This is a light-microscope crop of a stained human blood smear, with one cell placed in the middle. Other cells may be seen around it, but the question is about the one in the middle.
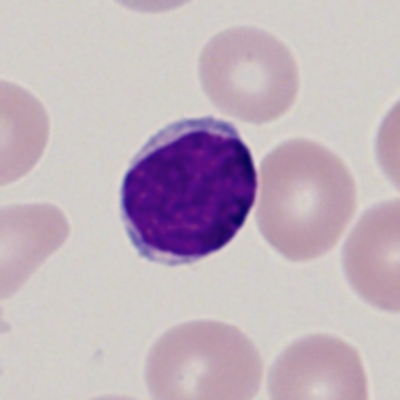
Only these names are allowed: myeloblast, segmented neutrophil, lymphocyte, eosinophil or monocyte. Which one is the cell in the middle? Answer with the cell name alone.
lymphocyte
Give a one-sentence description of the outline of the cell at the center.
A smooth, projection-free outline is what this cell has.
